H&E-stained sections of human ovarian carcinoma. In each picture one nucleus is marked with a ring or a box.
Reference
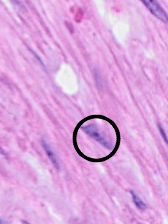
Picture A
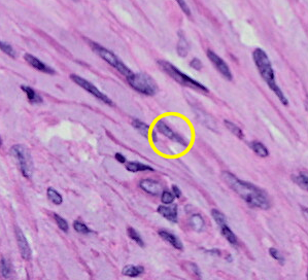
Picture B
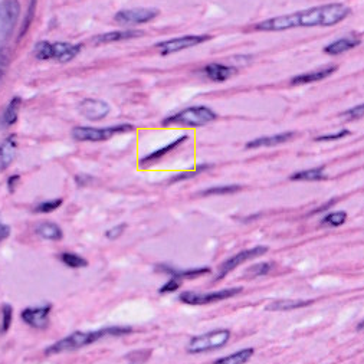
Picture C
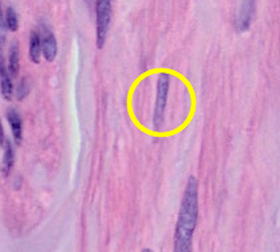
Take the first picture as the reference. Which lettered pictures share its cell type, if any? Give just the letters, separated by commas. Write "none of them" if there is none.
A, B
